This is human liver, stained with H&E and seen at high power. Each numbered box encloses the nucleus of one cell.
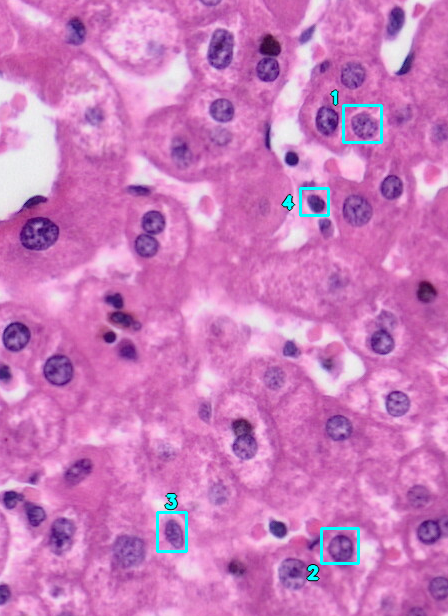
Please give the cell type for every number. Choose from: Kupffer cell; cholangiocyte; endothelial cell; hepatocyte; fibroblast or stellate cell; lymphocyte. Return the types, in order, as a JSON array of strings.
["hepatocyte", "hepatocyte", "Kupffer cell", "lymphocyte"]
